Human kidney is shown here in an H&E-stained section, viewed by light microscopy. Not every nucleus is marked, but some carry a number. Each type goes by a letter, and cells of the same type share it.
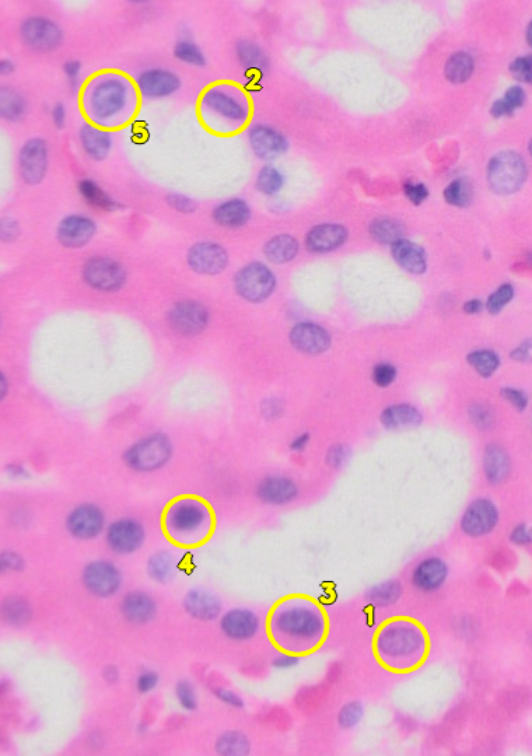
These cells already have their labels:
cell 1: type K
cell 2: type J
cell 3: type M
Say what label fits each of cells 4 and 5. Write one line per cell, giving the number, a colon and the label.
4: type M
5: type J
